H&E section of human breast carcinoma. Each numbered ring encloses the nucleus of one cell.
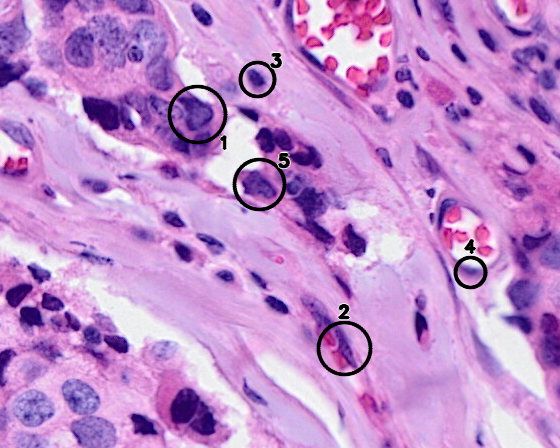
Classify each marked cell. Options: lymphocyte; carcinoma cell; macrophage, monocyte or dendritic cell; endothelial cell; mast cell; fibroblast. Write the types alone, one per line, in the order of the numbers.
carcinoma cell
endothelial cell
lymphocyte
endothelial cell
carcinoma cell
